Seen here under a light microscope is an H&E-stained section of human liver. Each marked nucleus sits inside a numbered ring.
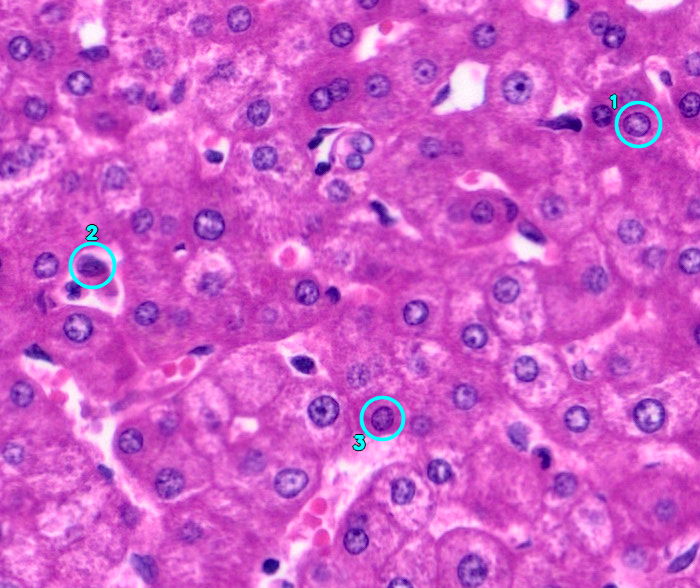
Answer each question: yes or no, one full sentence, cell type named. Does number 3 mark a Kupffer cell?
No, cell 3 is not a Kupffer cell. It is a hepatocyte.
